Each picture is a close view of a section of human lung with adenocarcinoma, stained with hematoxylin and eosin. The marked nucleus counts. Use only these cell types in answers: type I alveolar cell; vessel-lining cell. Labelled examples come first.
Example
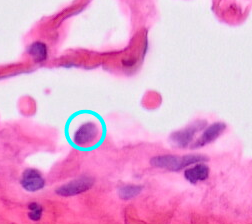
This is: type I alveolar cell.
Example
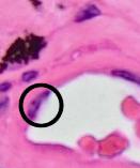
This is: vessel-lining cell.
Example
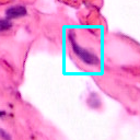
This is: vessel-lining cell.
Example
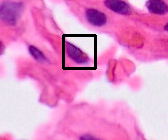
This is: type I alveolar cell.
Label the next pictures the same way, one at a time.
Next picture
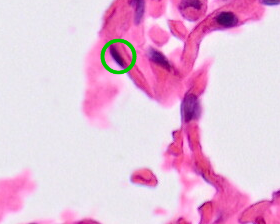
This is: vessel-lining cell.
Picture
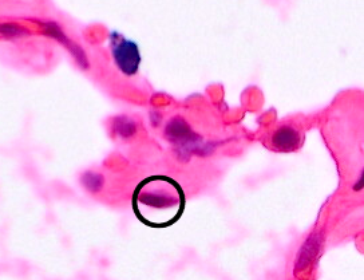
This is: type I alveolar cell.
